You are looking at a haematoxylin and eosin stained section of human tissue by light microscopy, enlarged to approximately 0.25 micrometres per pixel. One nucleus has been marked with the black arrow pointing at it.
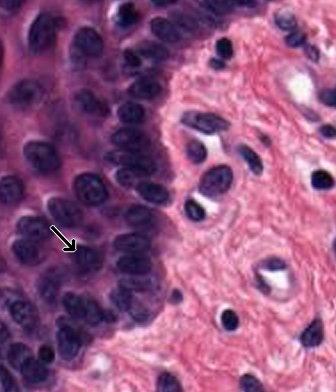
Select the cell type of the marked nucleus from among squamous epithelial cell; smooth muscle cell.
squamous epithelial cell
